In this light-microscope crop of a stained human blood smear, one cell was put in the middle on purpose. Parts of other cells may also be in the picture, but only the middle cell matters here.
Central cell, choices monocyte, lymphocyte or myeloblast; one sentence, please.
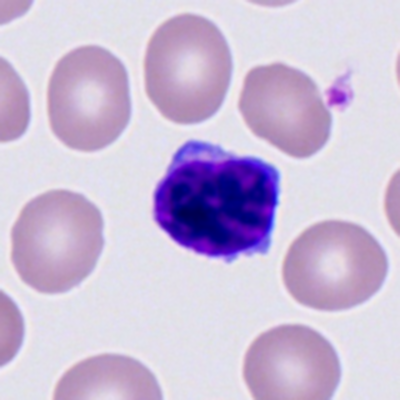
The cell in the middle of this crop is a lymphocyte.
